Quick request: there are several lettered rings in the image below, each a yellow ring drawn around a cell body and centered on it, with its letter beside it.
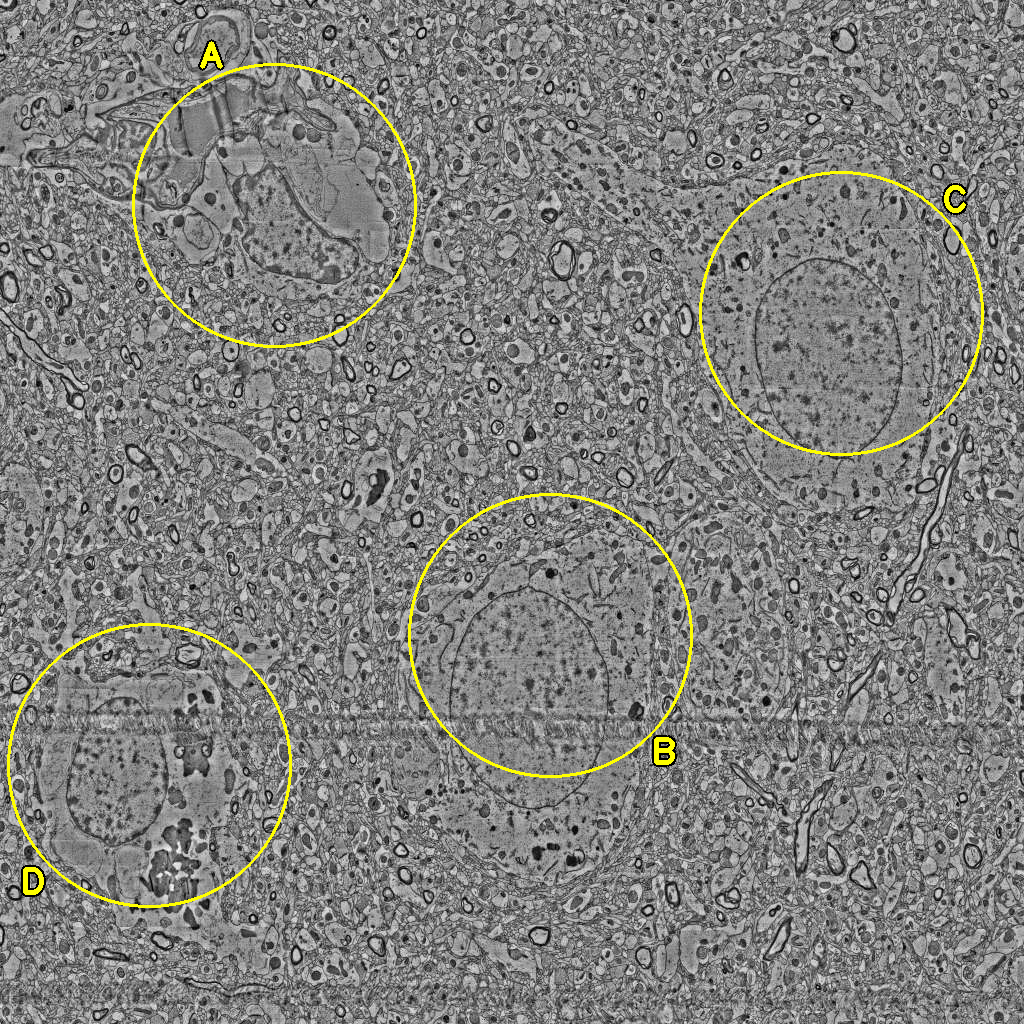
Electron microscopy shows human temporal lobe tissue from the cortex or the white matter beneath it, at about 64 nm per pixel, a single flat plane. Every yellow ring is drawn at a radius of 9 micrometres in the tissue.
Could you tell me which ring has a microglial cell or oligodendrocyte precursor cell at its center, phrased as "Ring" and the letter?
Ring A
